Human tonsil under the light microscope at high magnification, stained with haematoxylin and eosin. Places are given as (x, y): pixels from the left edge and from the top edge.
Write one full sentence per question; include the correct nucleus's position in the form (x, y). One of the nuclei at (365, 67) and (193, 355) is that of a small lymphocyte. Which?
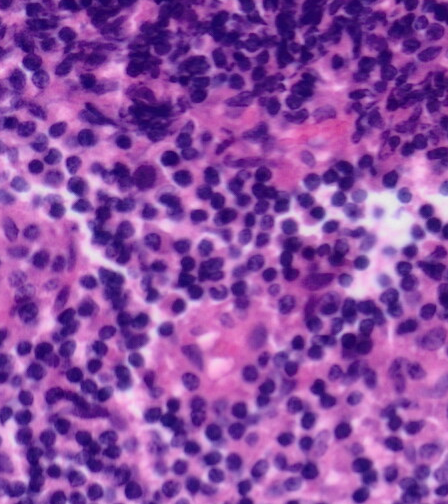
The nucleus at (365, 67), rather than the other, belongs to a small lymphocyte.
